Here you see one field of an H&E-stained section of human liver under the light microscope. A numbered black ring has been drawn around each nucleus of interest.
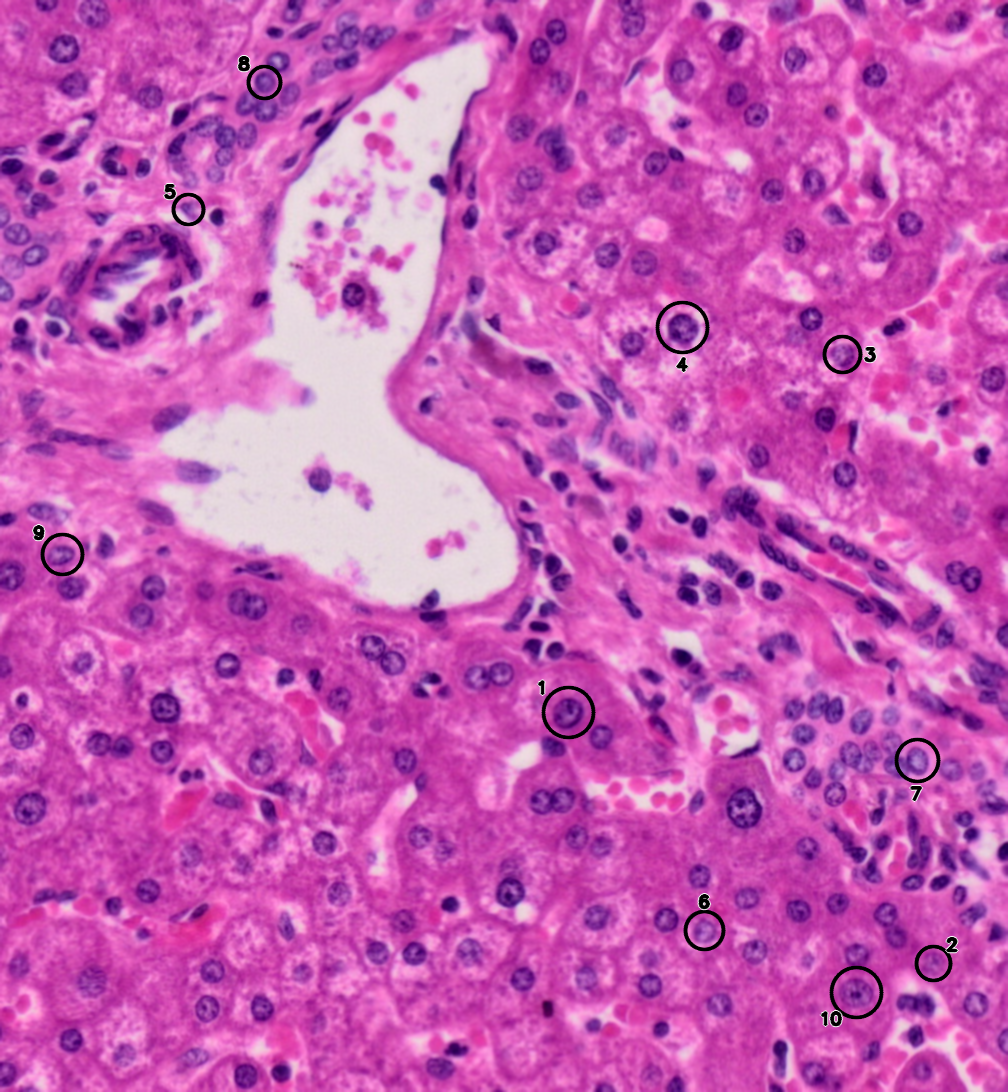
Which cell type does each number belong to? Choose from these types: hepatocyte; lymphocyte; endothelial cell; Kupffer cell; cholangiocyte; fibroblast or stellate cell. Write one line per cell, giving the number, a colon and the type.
1: hepatocyte
2: hepatocyte
3: hepatocyte
4: hepatocyte
5: fibroblast or stellate cell
6: hepatocyte
7: cholangiocyte
8: cholangiocyte
9: cholangiocyte
10: hepatocyte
